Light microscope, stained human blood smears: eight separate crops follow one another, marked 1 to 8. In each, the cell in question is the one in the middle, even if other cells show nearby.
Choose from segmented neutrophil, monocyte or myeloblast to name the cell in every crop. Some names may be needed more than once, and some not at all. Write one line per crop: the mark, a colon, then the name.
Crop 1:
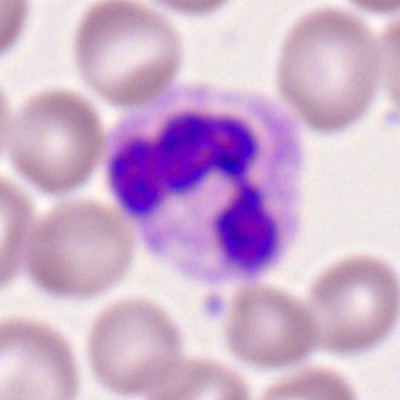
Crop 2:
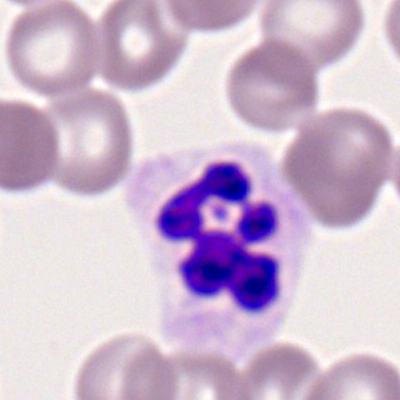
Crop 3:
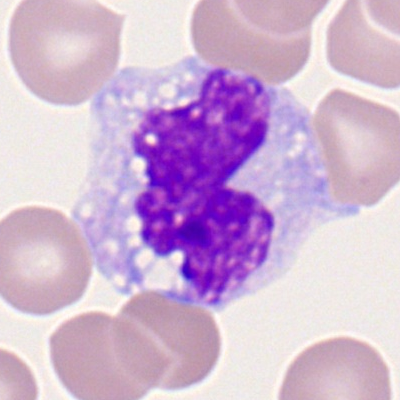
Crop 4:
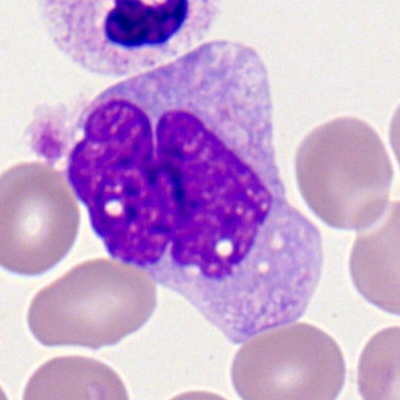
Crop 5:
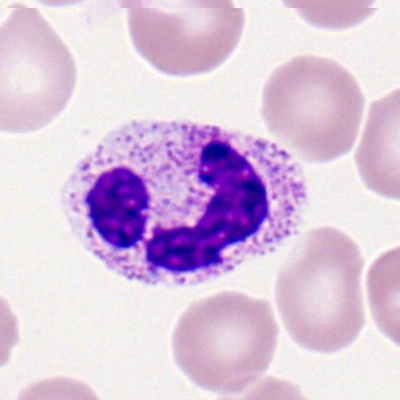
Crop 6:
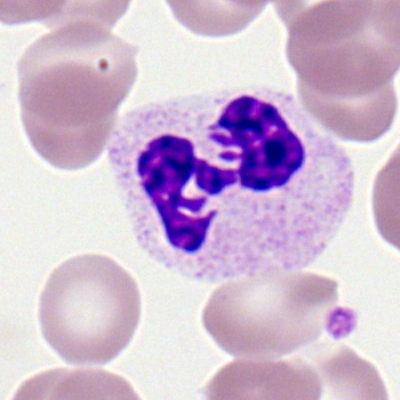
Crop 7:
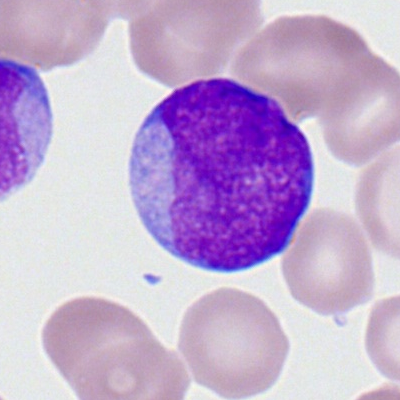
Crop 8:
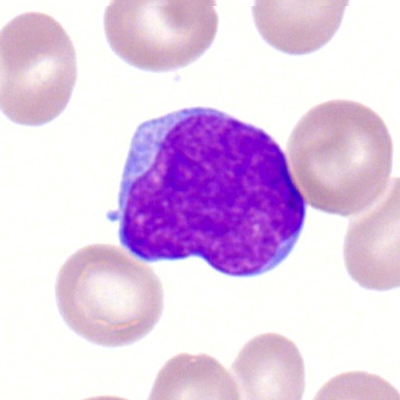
1: segmented neutrophil
2: segmented neutrophil
3: monocyte
4: monocyte
5: segmented neutrophil
6: segmented neutrophil
7: myeloblast
8: myeloblast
